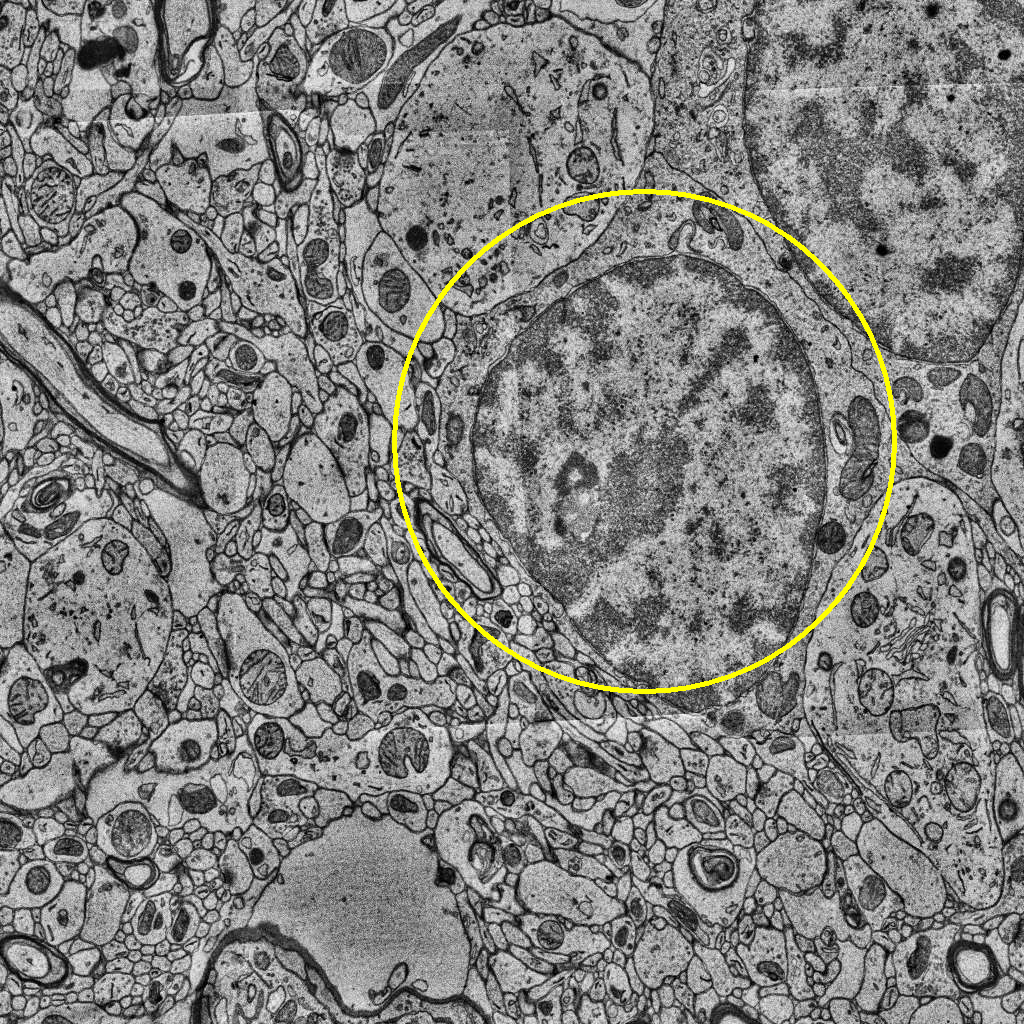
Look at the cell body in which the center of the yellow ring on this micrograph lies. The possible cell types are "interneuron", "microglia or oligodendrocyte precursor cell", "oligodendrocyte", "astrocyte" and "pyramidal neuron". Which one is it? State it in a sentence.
The cell at the middle of the ring is an oligodendrocyte.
